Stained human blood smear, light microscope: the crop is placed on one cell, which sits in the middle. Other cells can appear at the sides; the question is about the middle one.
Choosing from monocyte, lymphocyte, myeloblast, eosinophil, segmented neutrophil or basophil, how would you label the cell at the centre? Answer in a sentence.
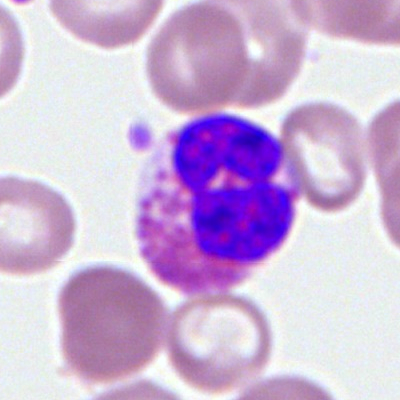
The cell at the middle of the frame should be recorded as an eosinophil.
